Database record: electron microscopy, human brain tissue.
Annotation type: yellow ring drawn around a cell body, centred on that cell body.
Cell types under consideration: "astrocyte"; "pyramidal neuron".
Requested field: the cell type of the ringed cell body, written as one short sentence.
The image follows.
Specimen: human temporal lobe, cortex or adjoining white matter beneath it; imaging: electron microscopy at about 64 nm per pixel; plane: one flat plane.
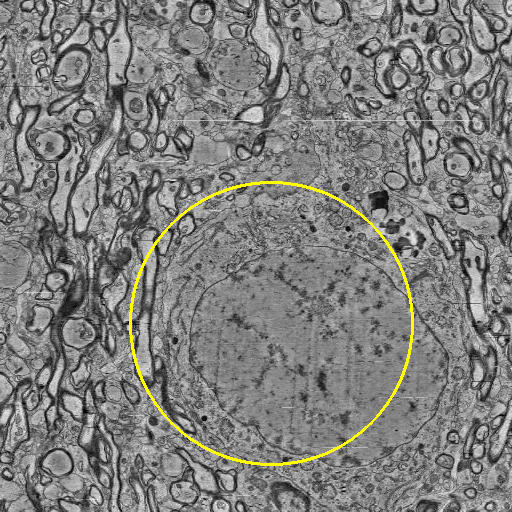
The ringed cell body represents a pyramidal neuron.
